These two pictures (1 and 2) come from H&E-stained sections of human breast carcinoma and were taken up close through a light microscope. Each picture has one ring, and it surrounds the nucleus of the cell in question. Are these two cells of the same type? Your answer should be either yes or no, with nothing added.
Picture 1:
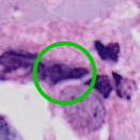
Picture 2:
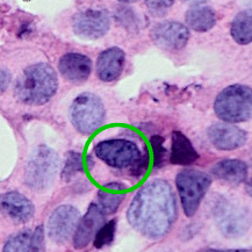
yes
